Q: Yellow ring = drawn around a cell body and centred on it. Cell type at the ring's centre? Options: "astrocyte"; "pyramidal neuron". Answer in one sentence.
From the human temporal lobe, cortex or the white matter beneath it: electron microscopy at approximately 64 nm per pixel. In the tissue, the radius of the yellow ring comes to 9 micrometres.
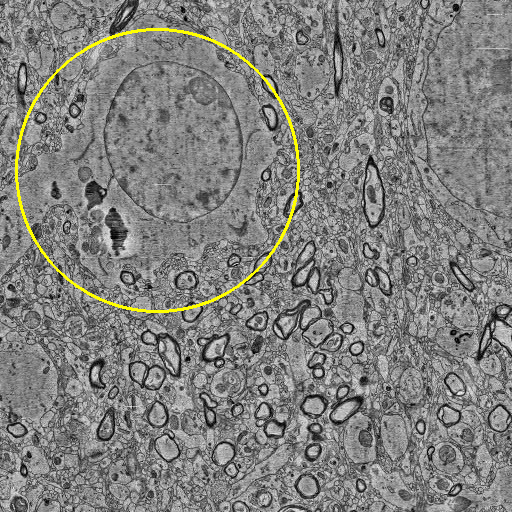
Centred in the ring is an astrocyte.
